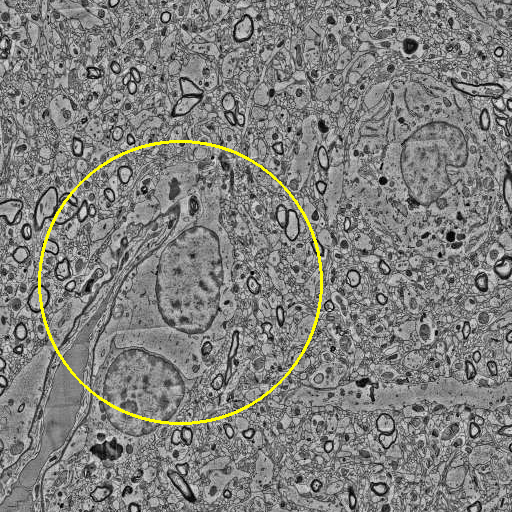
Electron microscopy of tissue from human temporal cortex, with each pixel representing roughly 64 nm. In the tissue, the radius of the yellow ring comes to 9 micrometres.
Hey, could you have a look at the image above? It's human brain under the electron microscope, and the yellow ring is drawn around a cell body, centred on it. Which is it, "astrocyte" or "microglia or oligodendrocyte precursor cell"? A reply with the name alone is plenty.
microglia or oligodendrocyte precursor cell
